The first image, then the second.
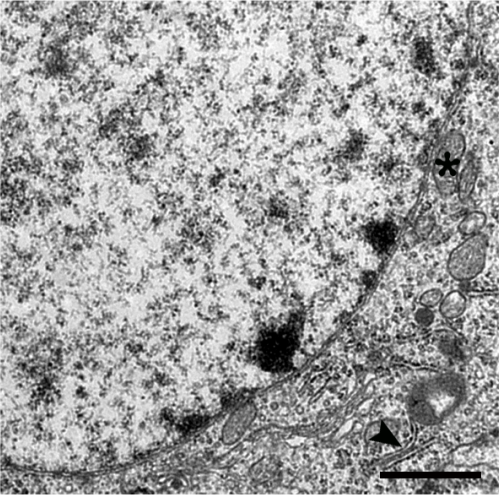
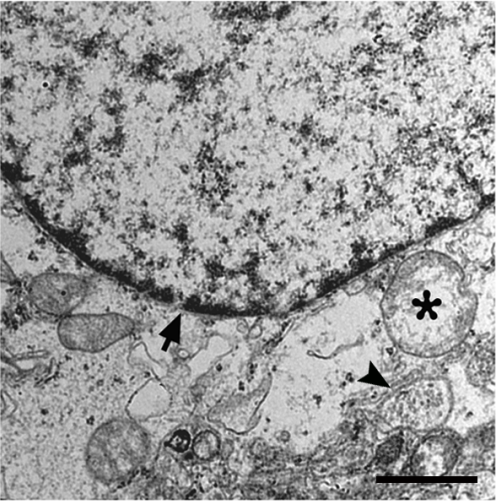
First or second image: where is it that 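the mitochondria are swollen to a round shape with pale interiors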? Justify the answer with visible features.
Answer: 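Second image: a large round mitochondrion with pale matrix and sparse cristae. First image: mitochondria are small and oval with dense matrix.
Answer: the second image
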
